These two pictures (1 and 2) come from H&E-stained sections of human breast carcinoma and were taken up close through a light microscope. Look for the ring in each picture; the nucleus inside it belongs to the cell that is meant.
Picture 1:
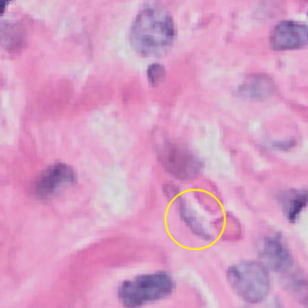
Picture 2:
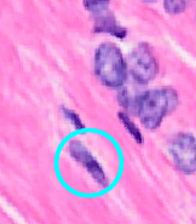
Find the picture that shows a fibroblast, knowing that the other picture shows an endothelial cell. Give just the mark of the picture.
2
